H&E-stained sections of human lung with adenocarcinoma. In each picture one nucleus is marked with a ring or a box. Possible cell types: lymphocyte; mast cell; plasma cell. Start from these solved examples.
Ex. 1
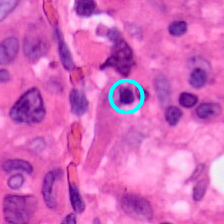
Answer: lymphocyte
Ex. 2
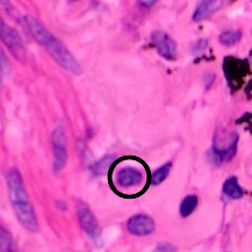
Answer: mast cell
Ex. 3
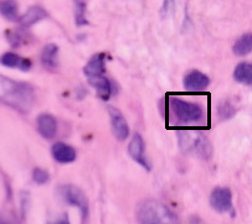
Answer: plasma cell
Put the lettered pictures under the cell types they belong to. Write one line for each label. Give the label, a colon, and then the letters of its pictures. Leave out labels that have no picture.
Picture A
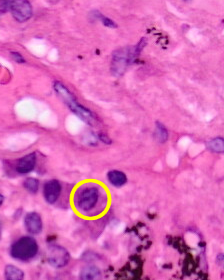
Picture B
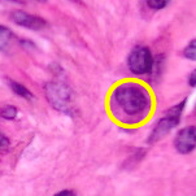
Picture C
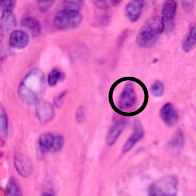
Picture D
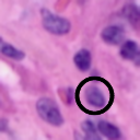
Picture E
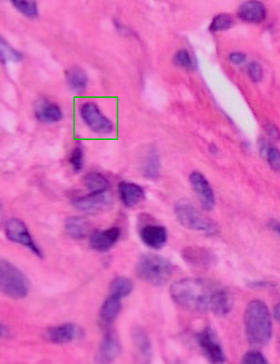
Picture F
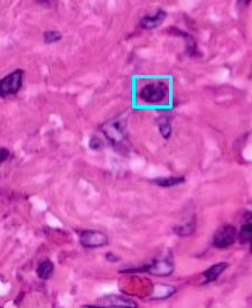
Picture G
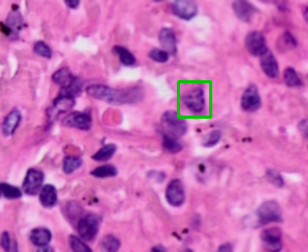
lymphocyte: D
mast cell: E
plasma cell: A, B, C, F, G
